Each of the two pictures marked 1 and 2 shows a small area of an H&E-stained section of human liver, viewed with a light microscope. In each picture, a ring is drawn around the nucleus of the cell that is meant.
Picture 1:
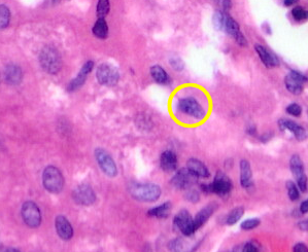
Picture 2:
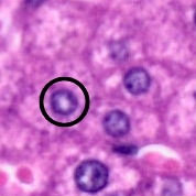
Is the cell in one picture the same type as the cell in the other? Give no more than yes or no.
no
